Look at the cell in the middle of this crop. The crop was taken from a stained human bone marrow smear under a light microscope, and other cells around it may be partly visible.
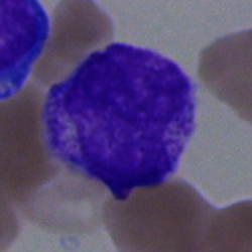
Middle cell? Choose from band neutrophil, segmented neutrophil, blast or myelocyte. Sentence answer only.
Classified as a myelocyte is the cell in the middle of this crop.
